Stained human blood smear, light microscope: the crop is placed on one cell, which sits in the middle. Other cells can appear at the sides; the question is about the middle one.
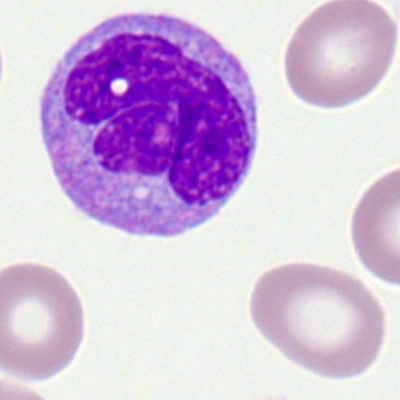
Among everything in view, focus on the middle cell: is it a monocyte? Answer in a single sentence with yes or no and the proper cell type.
Yes, this crop has a monocyte at its centre.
